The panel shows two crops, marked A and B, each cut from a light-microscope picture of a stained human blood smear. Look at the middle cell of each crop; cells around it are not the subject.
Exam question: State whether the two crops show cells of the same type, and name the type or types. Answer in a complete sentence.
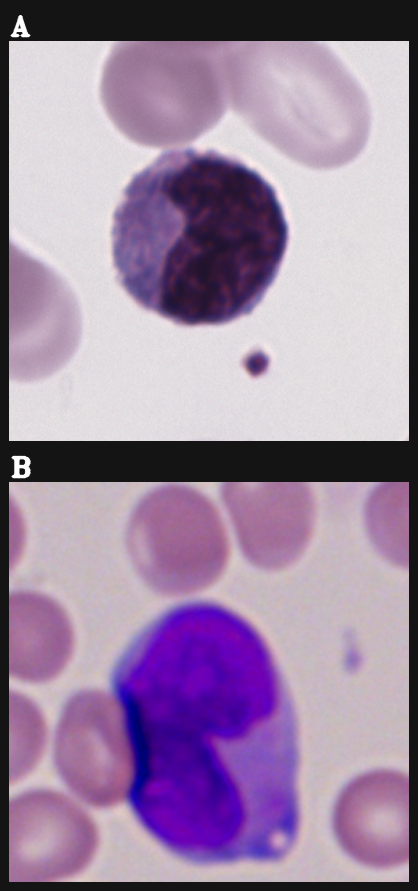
No, crop A shows a monocyte, and the cell in crop B is a blast.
